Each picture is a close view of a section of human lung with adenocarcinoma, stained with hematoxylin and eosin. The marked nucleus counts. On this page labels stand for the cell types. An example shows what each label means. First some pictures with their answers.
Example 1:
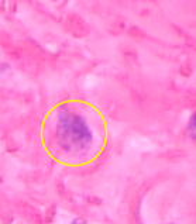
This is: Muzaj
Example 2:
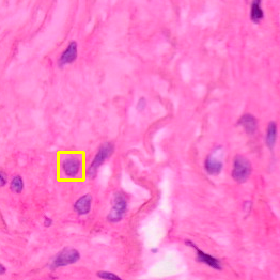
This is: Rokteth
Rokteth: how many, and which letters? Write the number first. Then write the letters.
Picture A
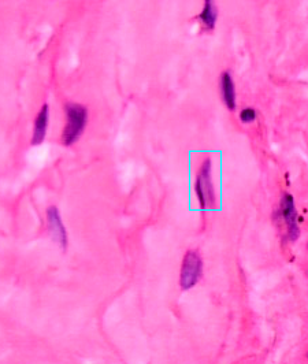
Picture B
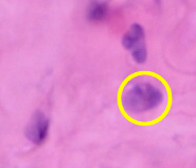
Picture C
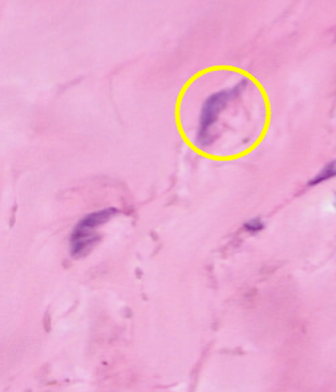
0, none of them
